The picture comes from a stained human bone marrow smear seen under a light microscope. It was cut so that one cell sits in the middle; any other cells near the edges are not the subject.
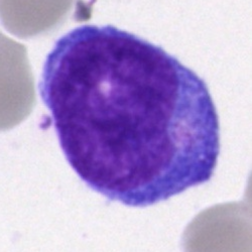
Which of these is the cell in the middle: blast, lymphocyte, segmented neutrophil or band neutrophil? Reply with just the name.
blast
